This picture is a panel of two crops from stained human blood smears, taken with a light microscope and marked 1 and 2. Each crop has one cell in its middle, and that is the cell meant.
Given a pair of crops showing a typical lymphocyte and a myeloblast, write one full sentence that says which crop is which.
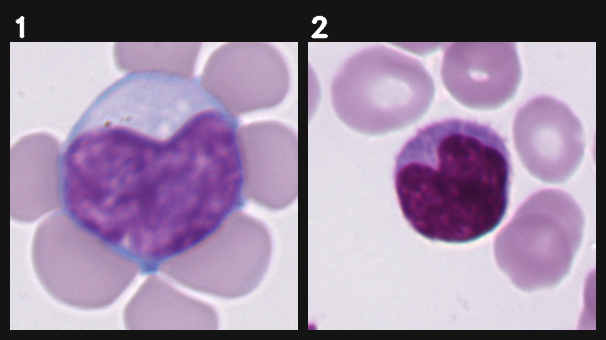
Crop 1 is a myeloblast, whilst crop 2 is a typical lymphocyte.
